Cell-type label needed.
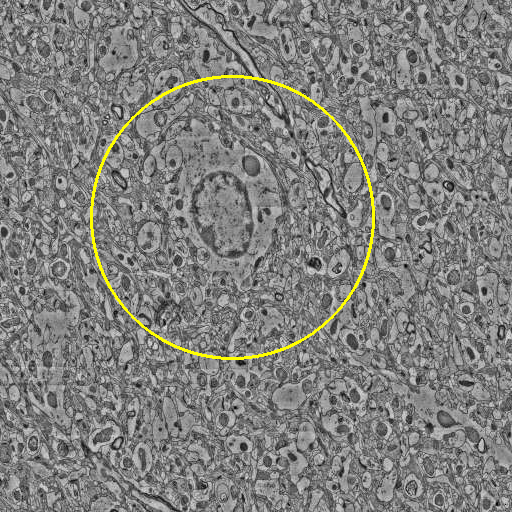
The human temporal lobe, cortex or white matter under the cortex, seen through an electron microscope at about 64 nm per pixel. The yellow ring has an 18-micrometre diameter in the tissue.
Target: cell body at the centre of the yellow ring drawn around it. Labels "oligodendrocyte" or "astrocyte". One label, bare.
astrocyte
